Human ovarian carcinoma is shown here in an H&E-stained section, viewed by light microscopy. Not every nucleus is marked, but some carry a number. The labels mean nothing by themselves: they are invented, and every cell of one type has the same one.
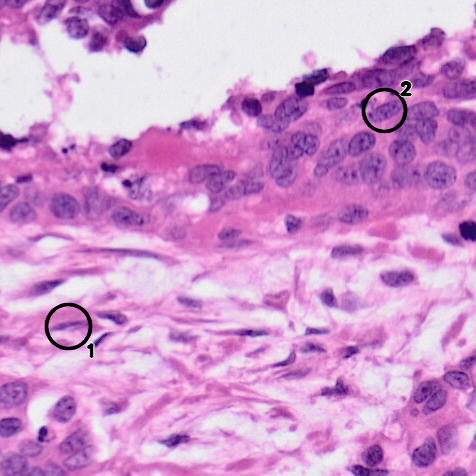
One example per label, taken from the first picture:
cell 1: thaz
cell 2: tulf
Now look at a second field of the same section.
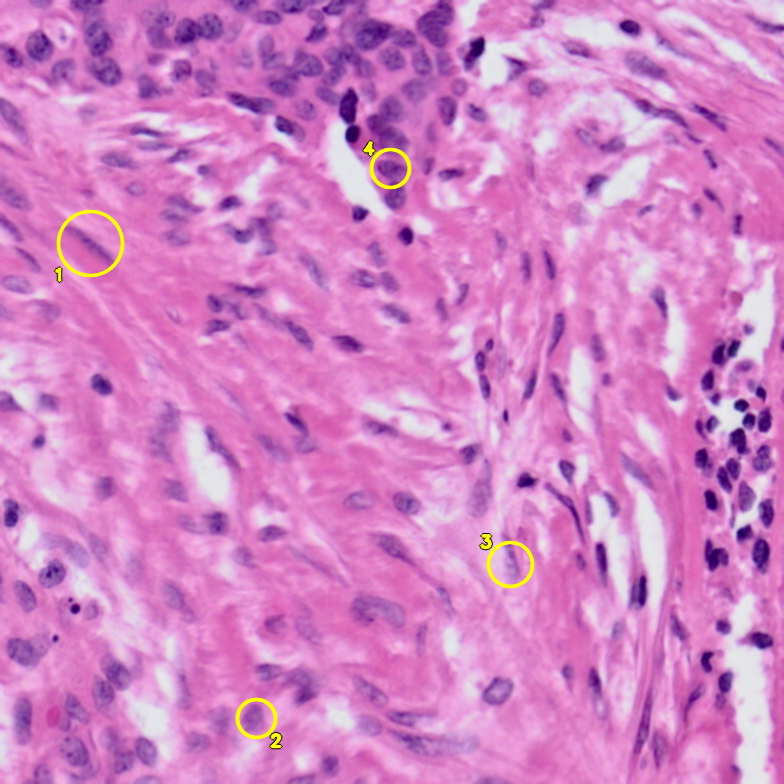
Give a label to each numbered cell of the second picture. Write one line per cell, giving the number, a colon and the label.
1: thaz
2: thaz
3: thaz
4: tulf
